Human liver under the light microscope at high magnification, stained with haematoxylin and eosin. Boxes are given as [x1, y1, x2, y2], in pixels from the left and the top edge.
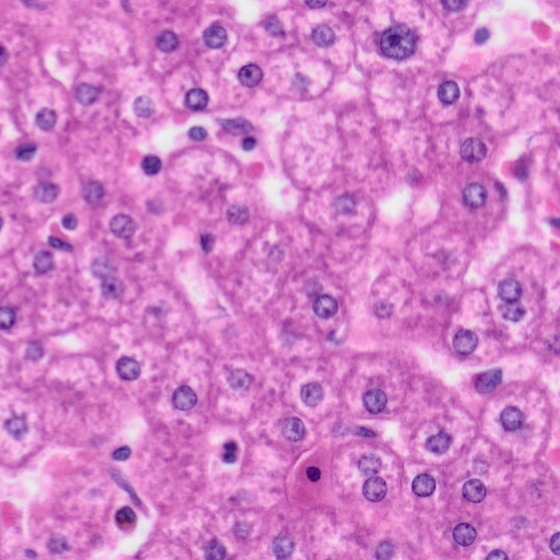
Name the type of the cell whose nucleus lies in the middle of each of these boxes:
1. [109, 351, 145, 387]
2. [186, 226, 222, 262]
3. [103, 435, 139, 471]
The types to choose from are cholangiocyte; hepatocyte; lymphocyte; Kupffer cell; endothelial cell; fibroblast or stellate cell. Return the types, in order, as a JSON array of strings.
["hepatocyte", "fibroblast or stellate cell", "lymphocyte"]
